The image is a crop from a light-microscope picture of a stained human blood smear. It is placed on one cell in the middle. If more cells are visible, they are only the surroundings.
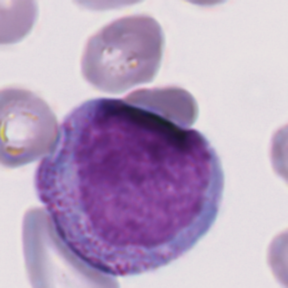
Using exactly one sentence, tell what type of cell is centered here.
The middle position in this crop is taken by a promyelocyte.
